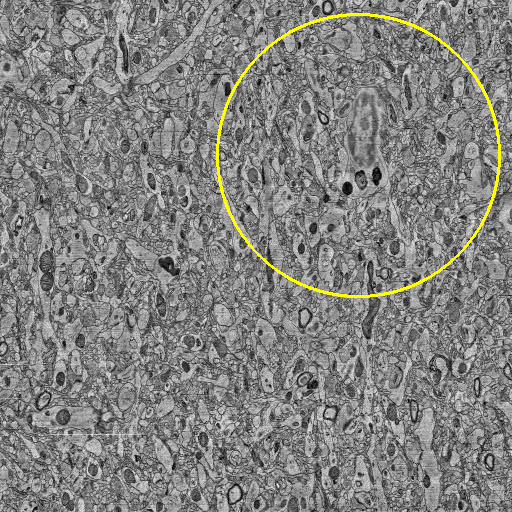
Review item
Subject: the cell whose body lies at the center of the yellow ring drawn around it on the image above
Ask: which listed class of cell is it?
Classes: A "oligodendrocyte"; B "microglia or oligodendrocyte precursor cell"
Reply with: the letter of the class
B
